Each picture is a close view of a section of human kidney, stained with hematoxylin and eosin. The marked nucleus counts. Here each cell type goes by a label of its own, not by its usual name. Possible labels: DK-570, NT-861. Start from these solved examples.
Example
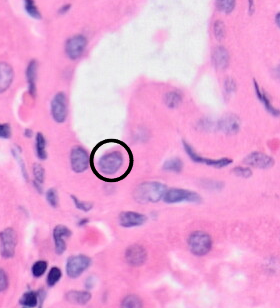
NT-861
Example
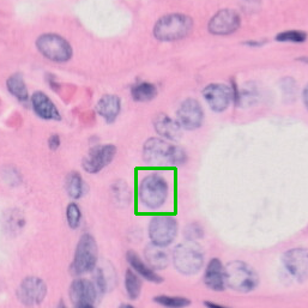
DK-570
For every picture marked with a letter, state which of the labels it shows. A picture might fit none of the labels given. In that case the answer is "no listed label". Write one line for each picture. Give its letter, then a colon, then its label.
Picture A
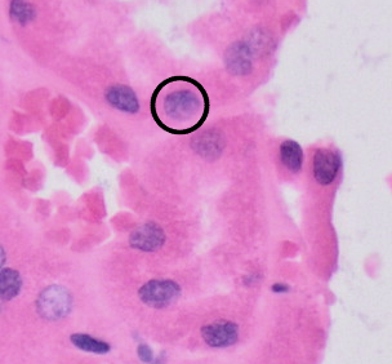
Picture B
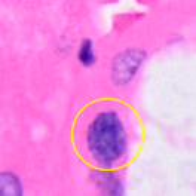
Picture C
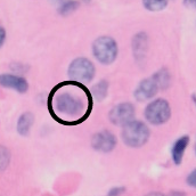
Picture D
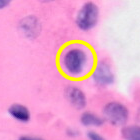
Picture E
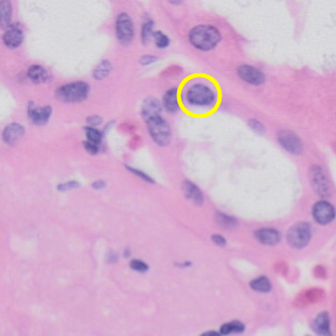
A: no listed label
B: NT-861
C: DK-570
D: NT-861
E: DK-570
